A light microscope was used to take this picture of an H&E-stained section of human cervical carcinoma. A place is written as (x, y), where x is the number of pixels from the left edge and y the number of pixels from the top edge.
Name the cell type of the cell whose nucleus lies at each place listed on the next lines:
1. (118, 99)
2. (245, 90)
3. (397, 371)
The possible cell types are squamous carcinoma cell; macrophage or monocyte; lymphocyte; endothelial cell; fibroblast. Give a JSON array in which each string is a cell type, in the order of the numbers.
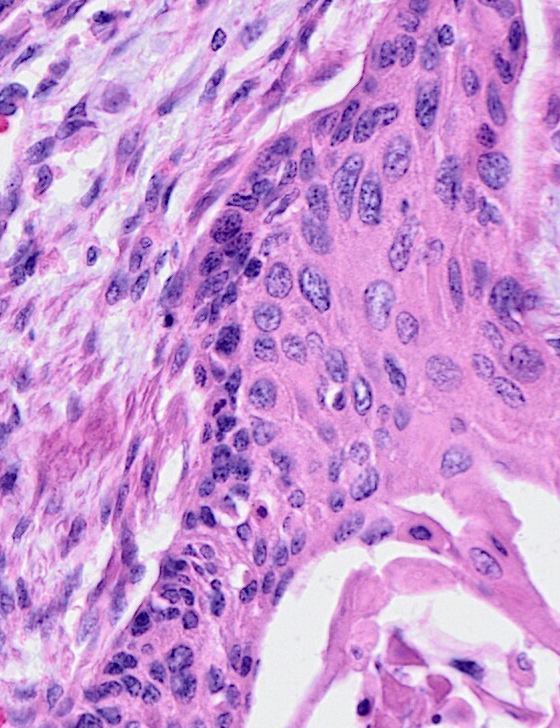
["fibroblast", "fibroblast", "squamous carcinoma cell"]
